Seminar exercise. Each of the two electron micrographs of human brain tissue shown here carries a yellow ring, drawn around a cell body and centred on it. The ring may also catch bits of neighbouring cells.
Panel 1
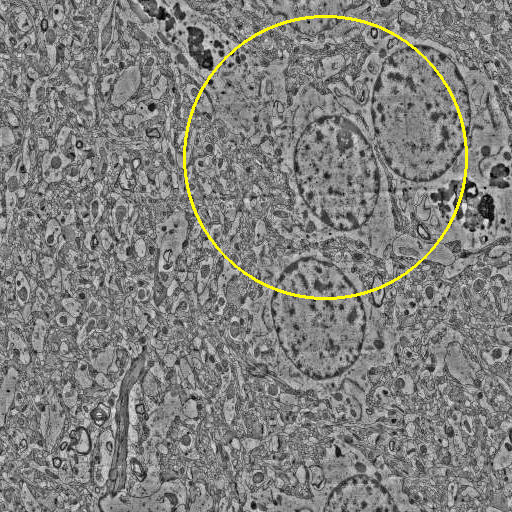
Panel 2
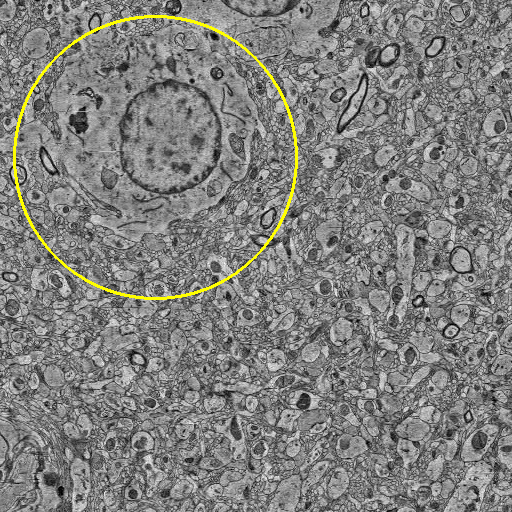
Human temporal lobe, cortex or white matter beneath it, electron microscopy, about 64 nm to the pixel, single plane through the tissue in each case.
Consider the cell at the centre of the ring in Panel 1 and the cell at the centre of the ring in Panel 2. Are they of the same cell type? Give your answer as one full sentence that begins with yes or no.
Yes, both cells are of the same type.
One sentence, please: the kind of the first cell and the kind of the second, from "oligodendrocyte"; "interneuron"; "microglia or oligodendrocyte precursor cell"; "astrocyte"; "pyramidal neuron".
Both the first and the second picture show an astrocyte in the ring.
